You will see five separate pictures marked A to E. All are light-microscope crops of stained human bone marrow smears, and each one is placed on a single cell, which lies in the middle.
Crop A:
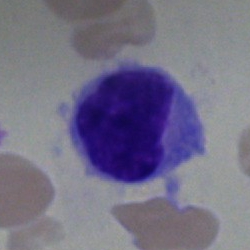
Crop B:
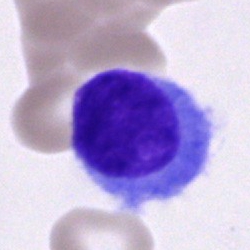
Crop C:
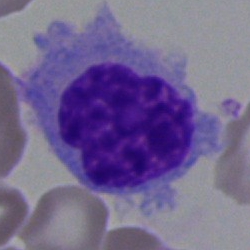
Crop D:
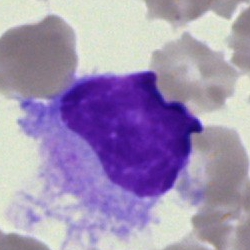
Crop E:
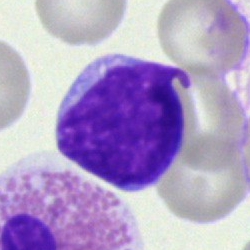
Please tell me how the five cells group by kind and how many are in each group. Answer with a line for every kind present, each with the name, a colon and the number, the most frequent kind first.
hairy cell: 4
blast: 1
